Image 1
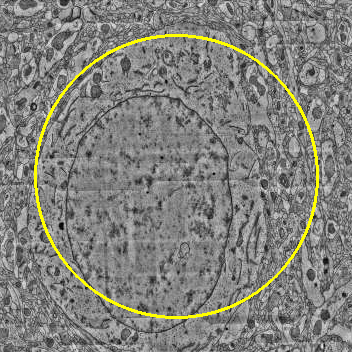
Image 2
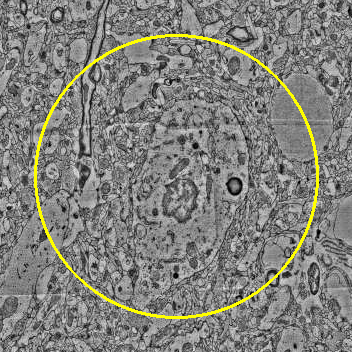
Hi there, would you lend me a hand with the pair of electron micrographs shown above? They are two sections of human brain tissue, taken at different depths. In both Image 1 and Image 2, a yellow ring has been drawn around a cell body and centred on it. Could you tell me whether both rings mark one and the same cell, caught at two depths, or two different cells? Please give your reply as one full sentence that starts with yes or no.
No, each of the two rings holds a different cell.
